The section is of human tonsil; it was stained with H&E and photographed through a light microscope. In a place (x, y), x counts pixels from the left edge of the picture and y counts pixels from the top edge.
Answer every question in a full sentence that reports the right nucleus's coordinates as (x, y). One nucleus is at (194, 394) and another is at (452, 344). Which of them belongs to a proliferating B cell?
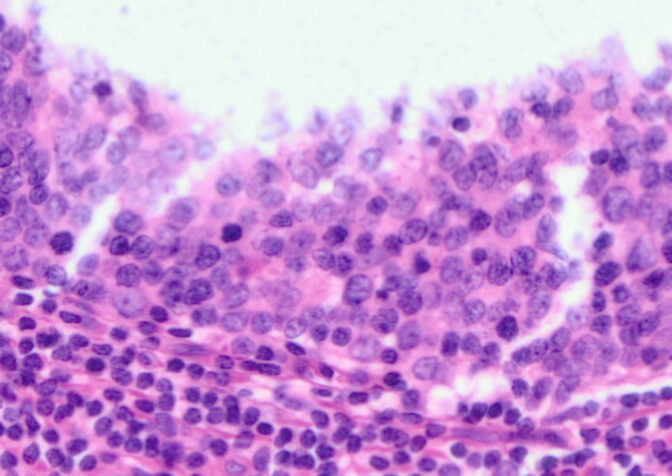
The correct choice is the nucleus at (452, 344), which belongs to a proliferating B cell.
